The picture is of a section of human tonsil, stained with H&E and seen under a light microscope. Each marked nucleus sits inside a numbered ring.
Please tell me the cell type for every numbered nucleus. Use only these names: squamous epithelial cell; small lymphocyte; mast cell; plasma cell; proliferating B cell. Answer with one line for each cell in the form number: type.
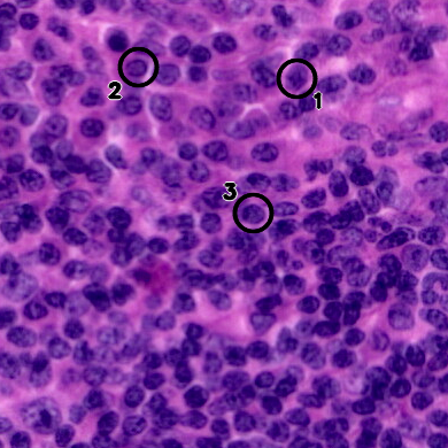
1: plasma cell
2: plasma cell
3: small lymphocyte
